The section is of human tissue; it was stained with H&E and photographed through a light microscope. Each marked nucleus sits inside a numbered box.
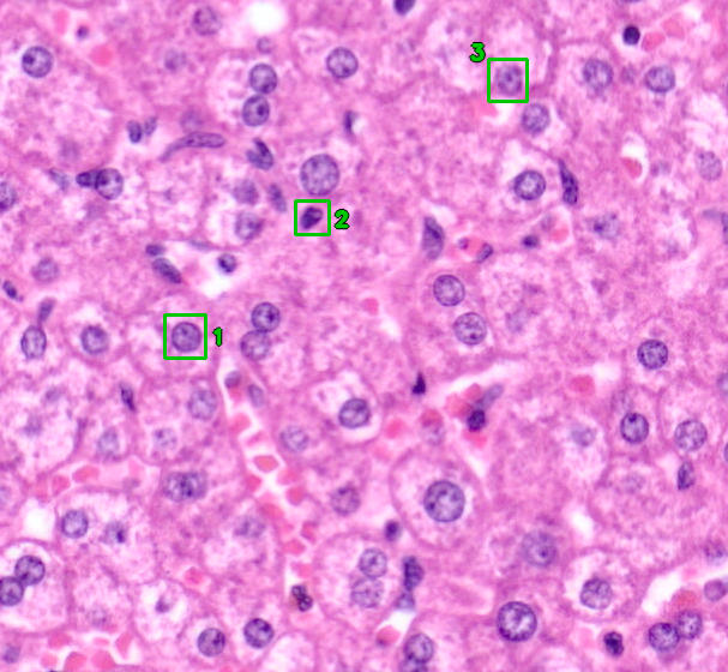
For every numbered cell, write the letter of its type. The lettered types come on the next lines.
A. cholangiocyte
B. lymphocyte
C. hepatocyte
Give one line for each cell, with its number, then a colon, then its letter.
1: C
2: B
3: C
